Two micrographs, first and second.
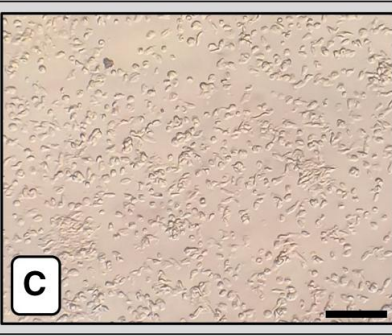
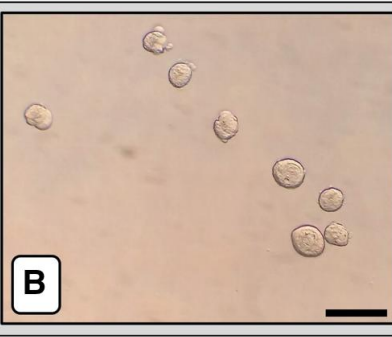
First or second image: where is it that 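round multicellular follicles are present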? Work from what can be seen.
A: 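First image: only small scattered single cells, no round spheres. Second image: several round compact spheres on a clear background.
Answer: the second image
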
